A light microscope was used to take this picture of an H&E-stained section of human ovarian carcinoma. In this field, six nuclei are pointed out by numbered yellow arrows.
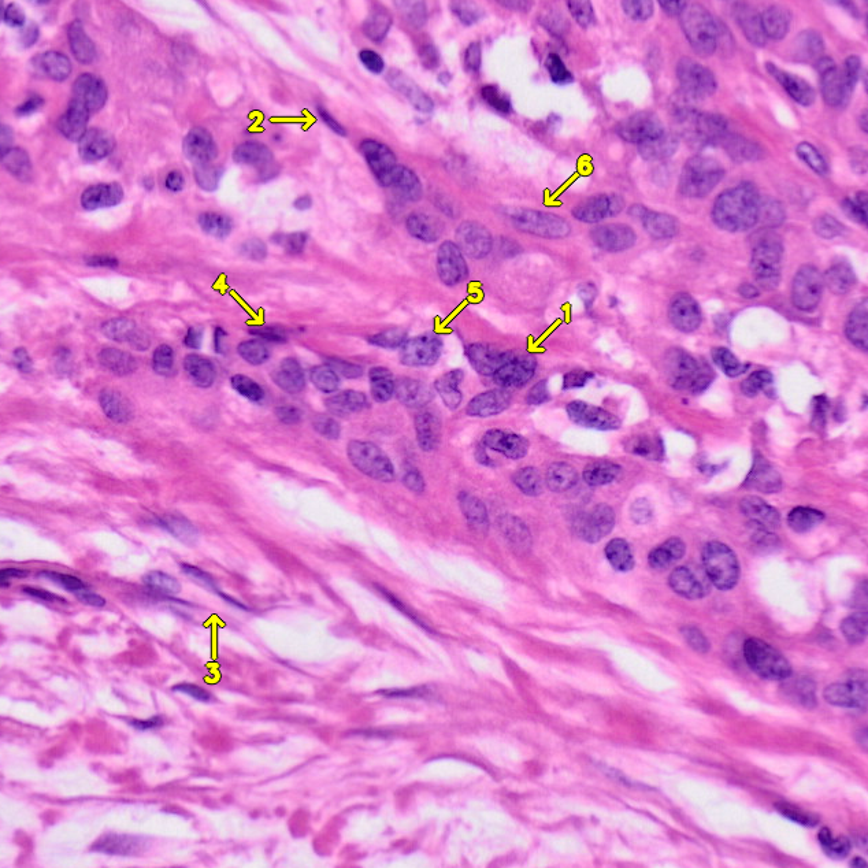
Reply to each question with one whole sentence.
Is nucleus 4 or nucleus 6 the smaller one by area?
The smaller nucleus is 4, and 6 covers roughly 2.5 times its area.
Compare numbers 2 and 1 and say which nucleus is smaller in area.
With nucleus 1 about 4 times its size, nucleus 2 is the smaller of the two.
